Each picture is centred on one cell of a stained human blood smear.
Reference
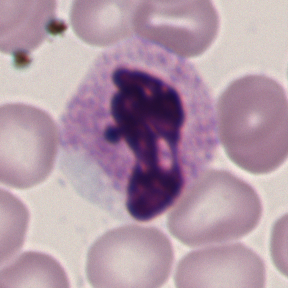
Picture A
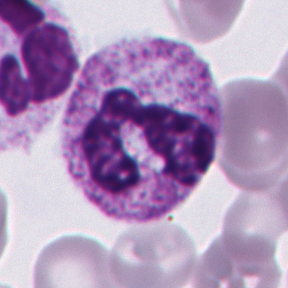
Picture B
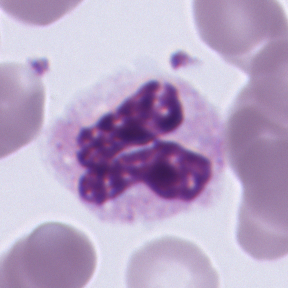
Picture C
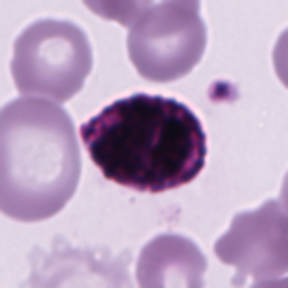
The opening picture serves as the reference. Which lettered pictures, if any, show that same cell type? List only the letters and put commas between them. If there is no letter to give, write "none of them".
A, B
